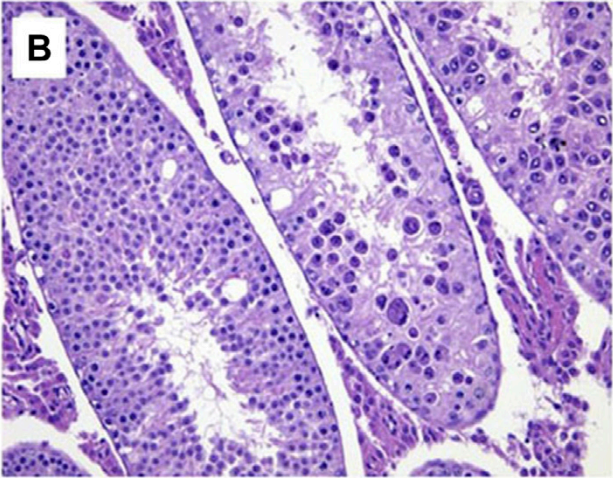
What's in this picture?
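Testis tubules, cut lengthwise, show degeneration: the epithelium is disordered and holds clear round vacuoles. Narrow interstitial tissue lies between the tubules.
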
